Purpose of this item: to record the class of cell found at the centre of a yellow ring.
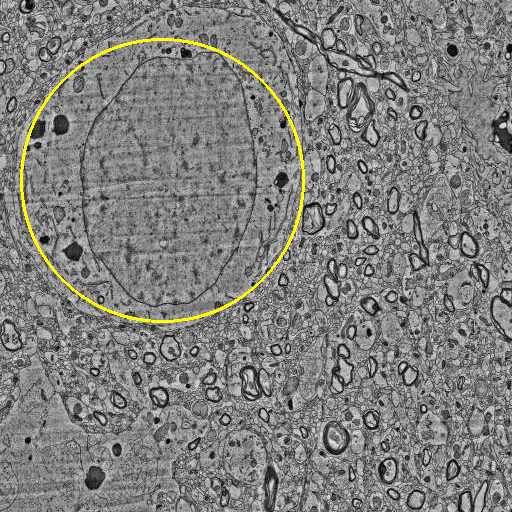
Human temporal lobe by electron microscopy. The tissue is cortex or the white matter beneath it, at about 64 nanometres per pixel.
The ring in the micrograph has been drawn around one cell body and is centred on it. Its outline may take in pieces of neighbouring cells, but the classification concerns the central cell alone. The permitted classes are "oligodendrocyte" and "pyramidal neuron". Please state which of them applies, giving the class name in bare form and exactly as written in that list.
pyramidal neuron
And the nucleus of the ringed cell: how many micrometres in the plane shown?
In this plane the nucleus spans approximately 16 by 12 micrometers.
